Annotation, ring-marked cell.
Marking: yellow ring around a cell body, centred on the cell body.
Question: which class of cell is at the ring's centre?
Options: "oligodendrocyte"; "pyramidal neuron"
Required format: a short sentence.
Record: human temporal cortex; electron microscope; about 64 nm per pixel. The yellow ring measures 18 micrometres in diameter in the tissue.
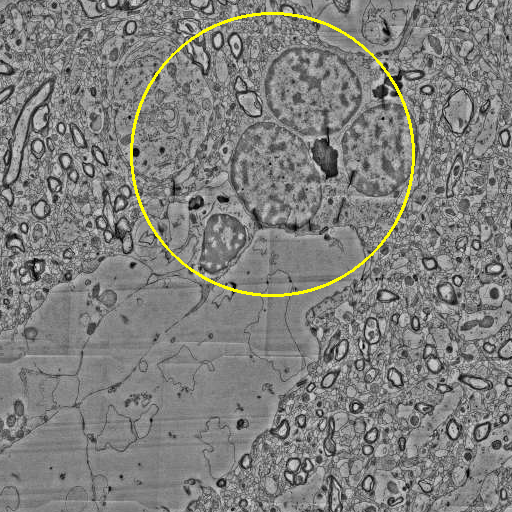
At the ring's centre is an oligodendrocyte.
